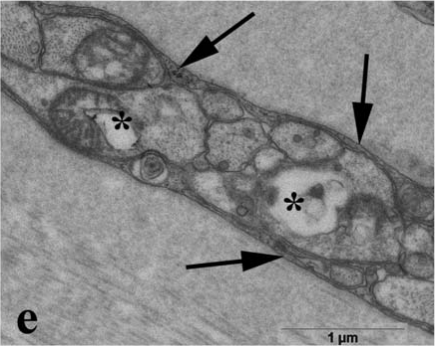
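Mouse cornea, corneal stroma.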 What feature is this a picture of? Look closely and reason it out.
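Unmyelinated nerve fibers. A bundle of rounded axon profiles without myelin sheaths. The bundle lies within fine-fibred extracellular matrix. Thin cytoplasmic sheets wrap the profiles.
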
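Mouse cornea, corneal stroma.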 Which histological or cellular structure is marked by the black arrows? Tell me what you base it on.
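Schwann cell processes. The arrows point to thin cytoplasmic sheets at the edge of the fibre bundle. These sheets enclose the rounded fibre profiles.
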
